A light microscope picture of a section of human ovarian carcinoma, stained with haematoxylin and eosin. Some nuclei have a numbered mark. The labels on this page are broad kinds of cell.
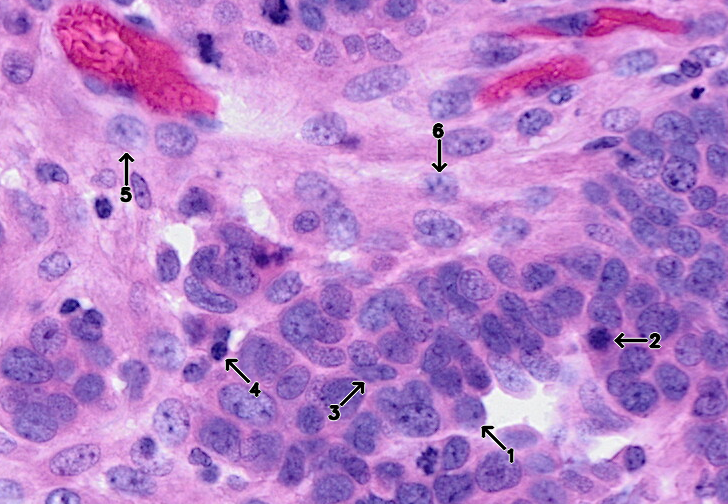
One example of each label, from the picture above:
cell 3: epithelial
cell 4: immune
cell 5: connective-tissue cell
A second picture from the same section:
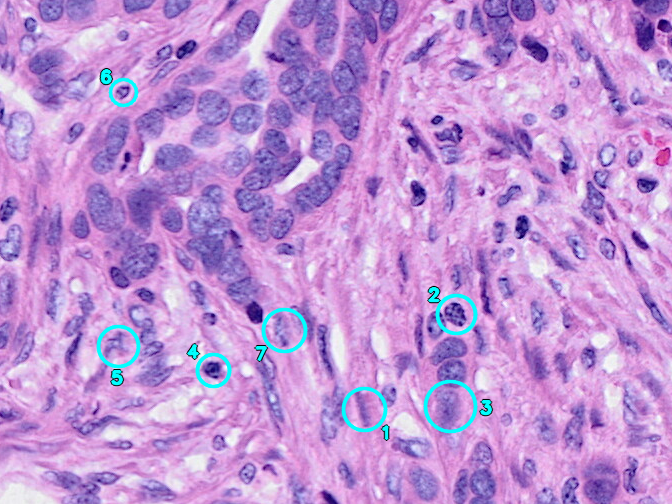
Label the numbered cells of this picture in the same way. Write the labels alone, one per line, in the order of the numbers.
connective-tissue cell
immune
epithelial
immune
connective-tissue cell
immune
connective-tissue cell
